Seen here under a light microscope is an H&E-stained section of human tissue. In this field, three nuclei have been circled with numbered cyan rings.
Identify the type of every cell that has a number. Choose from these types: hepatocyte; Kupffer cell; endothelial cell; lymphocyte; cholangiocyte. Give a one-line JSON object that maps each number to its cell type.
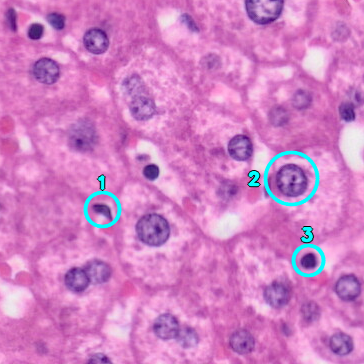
{"1": "endothelial cell", "2": "hepatocyte", "3": "lymphocyte"}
